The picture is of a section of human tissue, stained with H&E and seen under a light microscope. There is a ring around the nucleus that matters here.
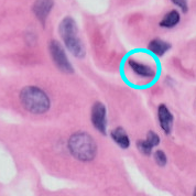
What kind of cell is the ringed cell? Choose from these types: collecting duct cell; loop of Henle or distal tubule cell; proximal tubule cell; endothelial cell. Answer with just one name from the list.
endothelial cell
